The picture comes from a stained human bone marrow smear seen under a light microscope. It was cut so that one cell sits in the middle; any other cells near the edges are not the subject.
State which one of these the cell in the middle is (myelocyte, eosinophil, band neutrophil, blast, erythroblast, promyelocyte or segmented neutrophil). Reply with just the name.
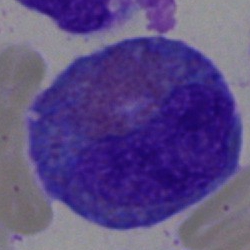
eosinophil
